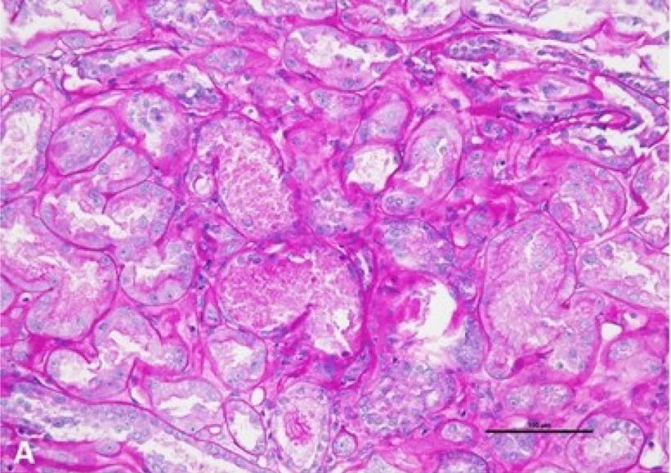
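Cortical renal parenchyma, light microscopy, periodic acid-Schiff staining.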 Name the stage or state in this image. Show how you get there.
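Acute tubular injury. The luminal borders of the tubules lack a thick magenta brush border. Tubular lumens look widened.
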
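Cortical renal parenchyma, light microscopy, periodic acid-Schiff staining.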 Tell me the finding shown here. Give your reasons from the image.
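Several tubular lumens are filled with finely granular, pale pink material packed with small round bodies. The filled tubules are outlined by magenta basement membranes. That points to this answer: red blood cell casts.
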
